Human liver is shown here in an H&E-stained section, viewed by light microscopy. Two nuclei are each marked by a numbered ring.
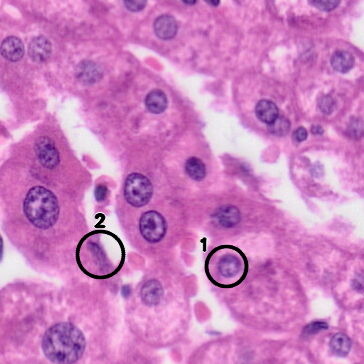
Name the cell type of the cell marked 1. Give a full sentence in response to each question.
The cell whose nucleus carries the number 1 is a hepatocyte.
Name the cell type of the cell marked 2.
The cell indicated by marker 2 is a Kupffer cell in this section.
